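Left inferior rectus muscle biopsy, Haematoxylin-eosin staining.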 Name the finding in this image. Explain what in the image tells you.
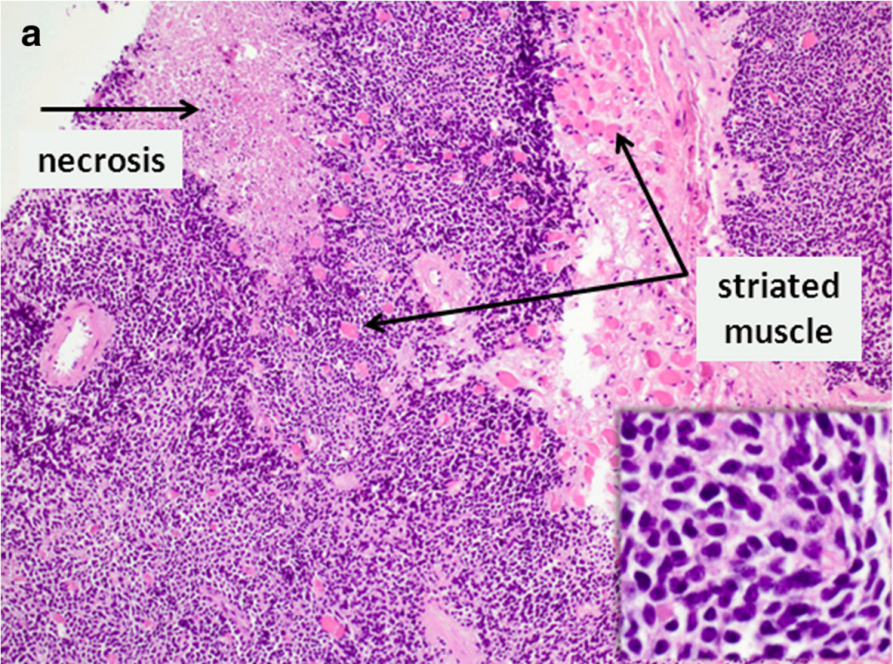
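Sheets of densely packed cells with dark purple nuclei and scant cytoplasm. The inset shows small round to oval hyperchromatic nuclei. Pink muscle fibres lie isolated among the dark cell sheets.
Conclusion: small-blue-round-celled tumour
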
